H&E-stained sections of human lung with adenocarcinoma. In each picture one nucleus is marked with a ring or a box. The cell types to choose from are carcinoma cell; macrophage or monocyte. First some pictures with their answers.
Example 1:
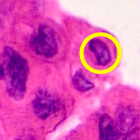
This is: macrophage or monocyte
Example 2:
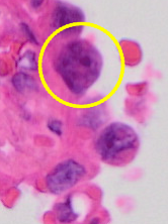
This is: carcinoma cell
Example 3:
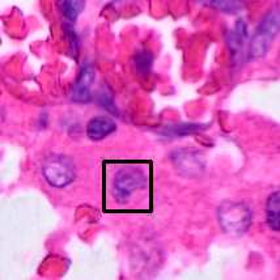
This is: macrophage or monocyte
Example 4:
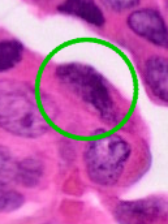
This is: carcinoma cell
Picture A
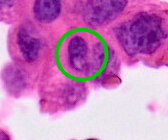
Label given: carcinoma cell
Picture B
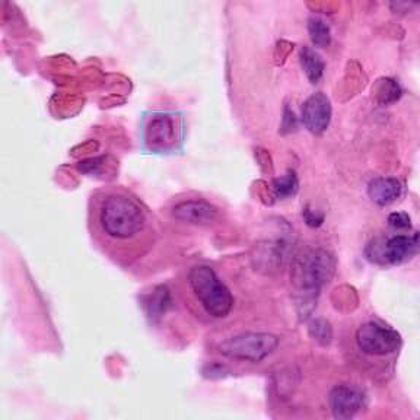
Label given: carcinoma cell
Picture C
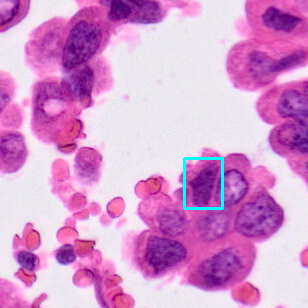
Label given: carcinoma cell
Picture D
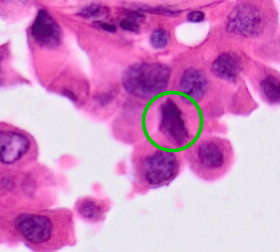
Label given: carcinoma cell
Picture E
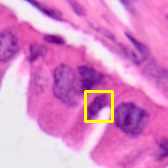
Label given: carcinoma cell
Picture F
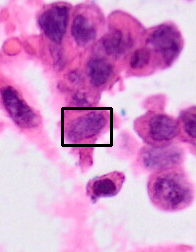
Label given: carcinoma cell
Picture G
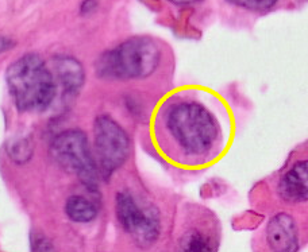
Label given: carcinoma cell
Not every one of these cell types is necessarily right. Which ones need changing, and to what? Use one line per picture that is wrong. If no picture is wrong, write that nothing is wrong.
B is labelled carcinoma cell; correct label: macrophage or monocyte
